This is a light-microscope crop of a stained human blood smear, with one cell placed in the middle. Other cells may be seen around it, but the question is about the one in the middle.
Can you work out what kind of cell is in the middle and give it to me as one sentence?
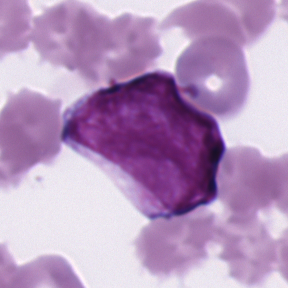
The cell under consideration, at the middle of the crop, is a myeloblast.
